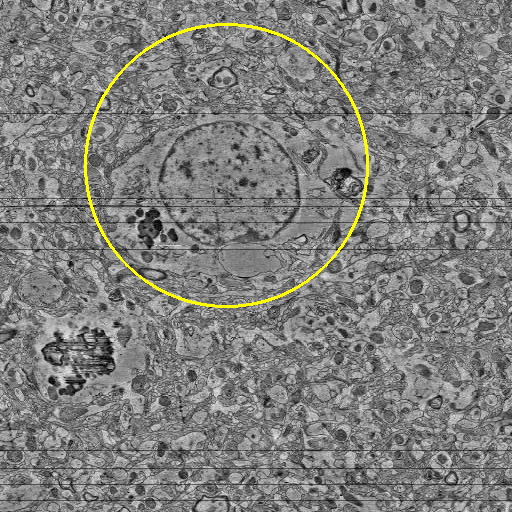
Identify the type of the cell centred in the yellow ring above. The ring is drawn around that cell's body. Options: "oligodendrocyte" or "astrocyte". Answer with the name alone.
astrocyte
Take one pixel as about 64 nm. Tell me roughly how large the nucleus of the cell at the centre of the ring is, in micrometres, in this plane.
In this plane the nucleus measures roughly 9 micrometres across.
